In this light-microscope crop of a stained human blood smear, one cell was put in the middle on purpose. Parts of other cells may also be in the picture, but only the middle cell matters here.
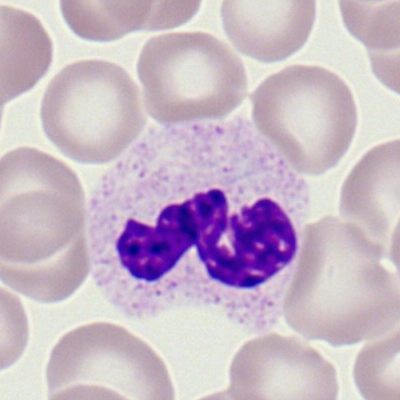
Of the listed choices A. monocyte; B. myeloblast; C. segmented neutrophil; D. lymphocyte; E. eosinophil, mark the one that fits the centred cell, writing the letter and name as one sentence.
Option C holds, for the cell in the middle is a segmented neutrophil.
